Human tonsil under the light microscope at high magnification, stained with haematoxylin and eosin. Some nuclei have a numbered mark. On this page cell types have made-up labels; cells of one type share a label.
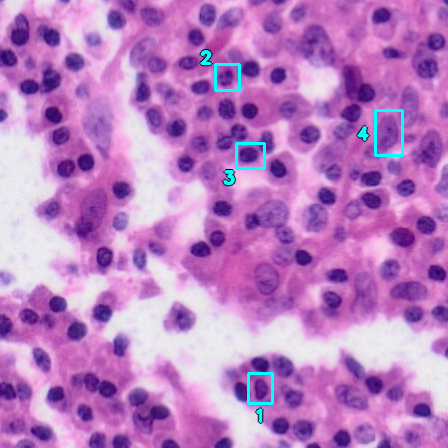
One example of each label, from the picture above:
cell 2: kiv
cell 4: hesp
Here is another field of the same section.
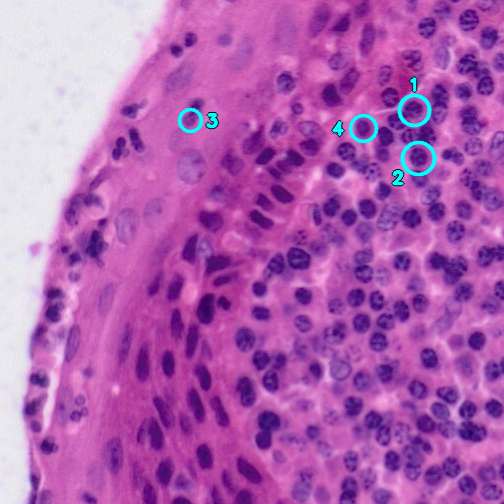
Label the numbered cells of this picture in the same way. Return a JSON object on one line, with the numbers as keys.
{"1": "kiv", "2": "kiv", "3": "hesp", "4": "kiv"}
